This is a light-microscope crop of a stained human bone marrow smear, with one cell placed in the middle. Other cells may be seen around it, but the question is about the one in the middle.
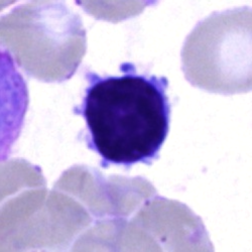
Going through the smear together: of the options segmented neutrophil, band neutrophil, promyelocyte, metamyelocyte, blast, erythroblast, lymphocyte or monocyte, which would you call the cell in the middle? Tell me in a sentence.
As for the cell in the middle, it is a lymphocyte.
